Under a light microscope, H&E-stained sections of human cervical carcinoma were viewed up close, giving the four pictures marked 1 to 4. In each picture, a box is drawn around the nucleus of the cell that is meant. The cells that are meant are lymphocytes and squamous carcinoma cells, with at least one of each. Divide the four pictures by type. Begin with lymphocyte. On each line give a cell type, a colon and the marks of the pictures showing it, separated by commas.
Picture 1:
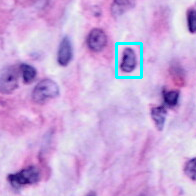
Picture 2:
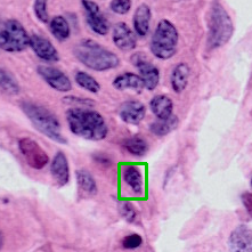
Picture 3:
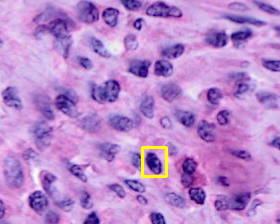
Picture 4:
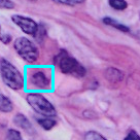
lymphocyte: 1, 3, 4
squamous carcinoma cell: 2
